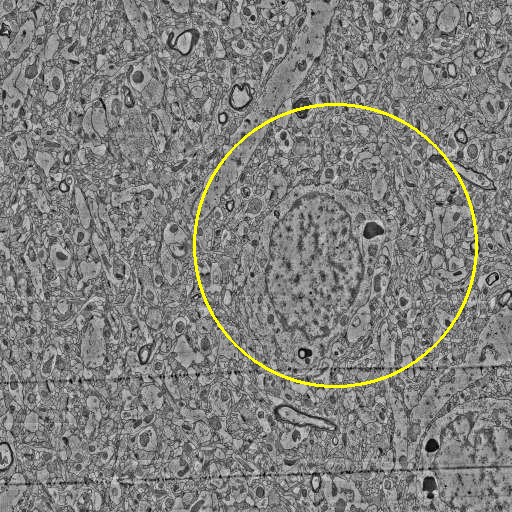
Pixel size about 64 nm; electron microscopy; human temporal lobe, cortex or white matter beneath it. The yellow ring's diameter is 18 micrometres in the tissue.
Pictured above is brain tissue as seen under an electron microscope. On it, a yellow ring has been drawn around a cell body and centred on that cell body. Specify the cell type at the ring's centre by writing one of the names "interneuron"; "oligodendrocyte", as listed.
interneuron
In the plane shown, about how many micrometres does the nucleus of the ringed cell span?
Roughly 9 micrometres by 6 micrometres, in this plane.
